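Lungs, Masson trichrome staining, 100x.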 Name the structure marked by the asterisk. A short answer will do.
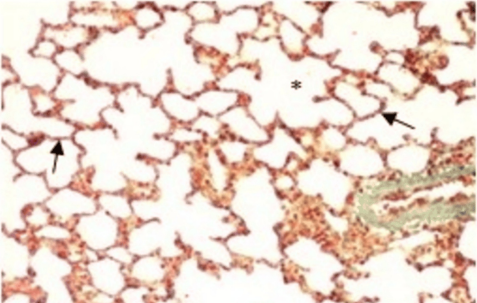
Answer: Alveolar space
